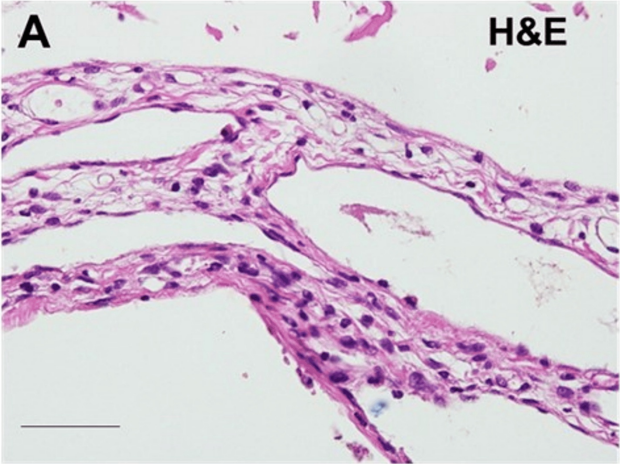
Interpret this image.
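This shows thin fibrous septa of a cystic lesion, separating large empty cystic spaces. The septa consist of loose pale pink connective tissue containing spindle-shaped nuclei and many small, dark, round nuclei consistent with infiltrating lymphocytes. The septal surfaces are lined by flattened cells with thin elongated nuclei, and a few small channels can be seen within the septa.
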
